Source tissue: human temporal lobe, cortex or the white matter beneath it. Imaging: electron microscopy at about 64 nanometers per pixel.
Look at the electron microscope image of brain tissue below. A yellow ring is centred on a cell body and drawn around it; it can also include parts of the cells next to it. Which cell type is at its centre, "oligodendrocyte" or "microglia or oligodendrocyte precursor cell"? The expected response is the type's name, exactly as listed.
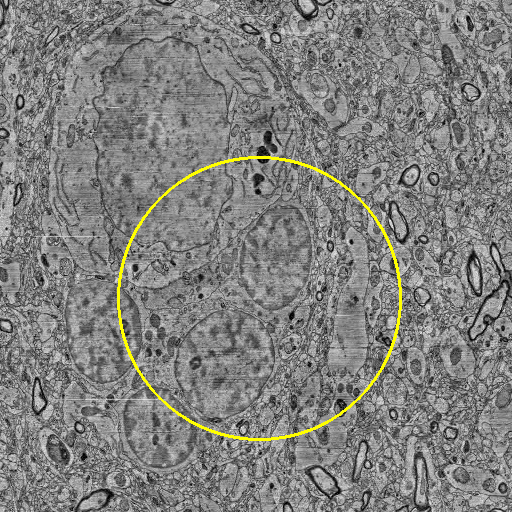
oligodendrocyte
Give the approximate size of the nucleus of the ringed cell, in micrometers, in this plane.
Approximately 7 by 4 micrometers, which makes the nucleus clearly longer than it is wide in this plane.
